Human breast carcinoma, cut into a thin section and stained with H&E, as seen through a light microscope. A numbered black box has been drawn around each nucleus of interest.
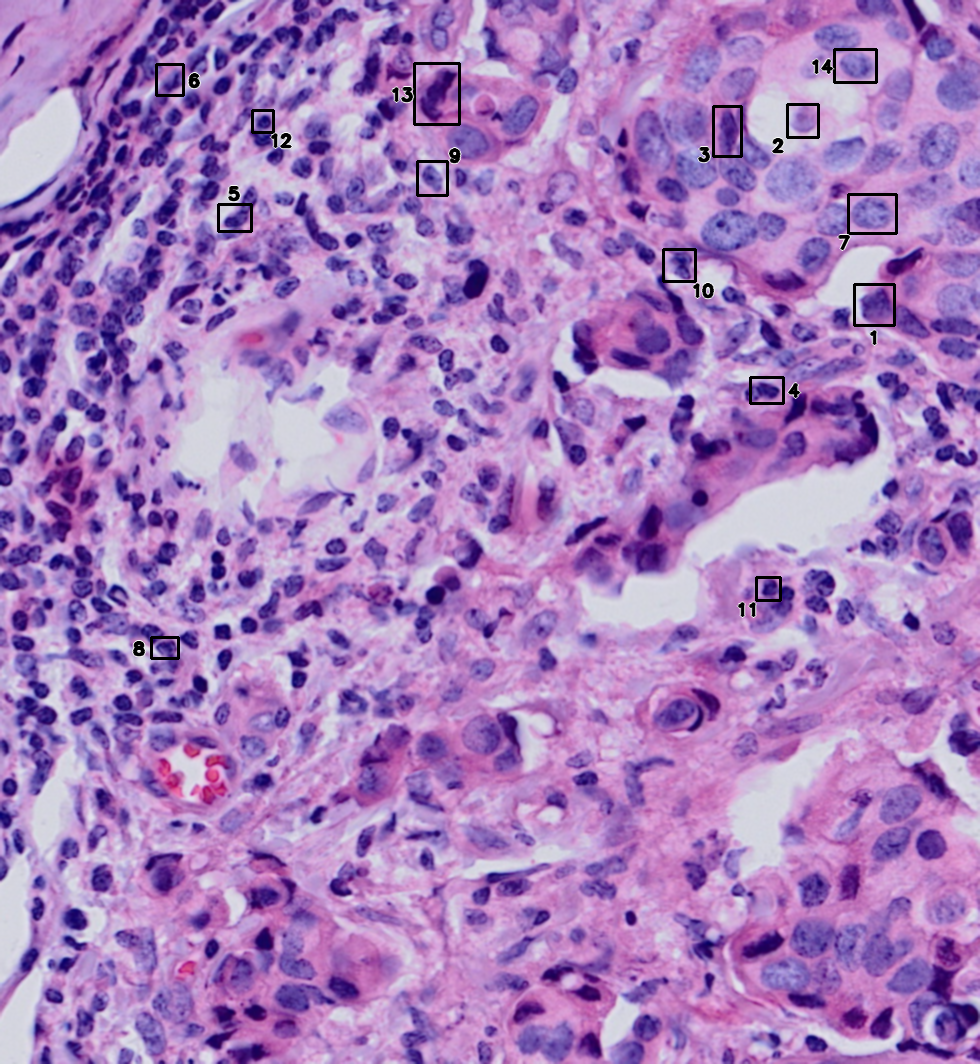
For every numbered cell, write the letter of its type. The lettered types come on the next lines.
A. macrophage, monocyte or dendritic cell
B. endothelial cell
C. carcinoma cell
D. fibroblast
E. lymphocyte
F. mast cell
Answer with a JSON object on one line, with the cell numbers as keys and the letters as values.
{"1": "C", "2": "C", "3": "C", "4": "E", "5": "E", "6": "E", "7": "C", "8": "E", "9": "E", "10": "E", "11": "E", "12": "E", "13": "C", "14": "C"}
